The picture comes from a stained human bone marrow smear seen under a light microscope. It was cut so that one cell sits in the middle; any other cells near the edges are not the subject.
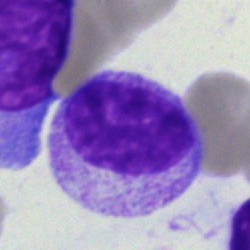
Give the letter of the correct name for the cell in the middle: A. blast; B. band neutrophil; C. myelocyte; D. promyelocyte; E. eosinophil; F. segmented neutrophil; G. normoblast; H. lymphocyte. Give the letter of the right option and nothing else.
C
